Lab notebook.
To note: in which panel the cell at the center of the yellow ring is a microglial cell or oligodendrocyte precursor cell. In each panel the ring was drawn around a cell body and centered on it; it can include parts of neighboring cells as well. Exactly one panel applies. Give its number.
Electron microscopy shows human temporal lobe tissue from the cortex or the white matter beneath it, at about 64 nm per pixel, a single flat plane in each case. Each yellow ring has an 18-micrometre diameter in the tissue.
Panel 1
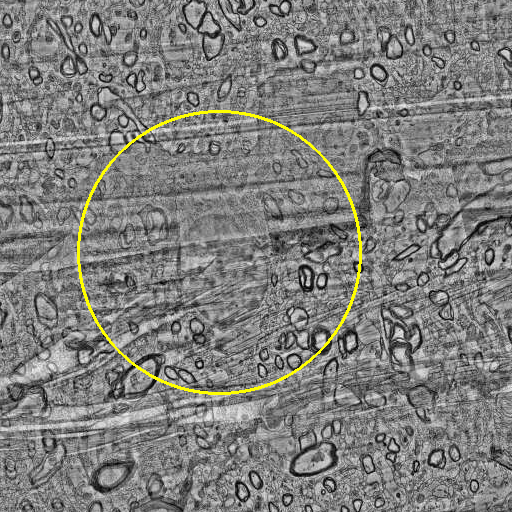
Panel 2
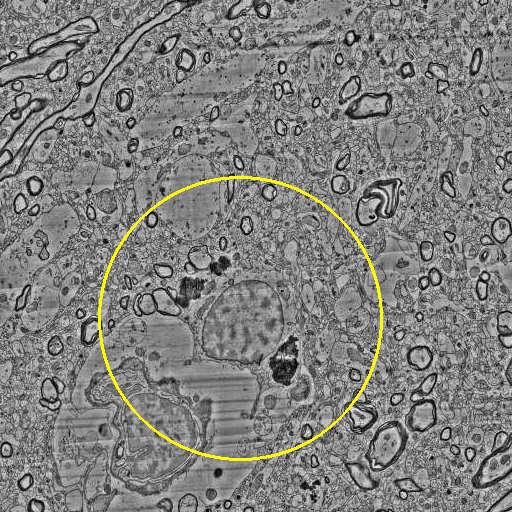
1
